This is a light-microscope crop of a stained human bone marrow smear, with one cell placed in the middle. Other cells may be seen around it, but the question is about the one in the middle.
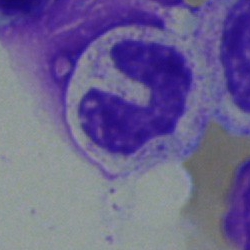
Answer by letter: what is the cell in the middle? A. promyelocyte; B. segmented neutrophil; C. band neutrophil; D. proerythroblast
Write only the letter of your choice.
C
